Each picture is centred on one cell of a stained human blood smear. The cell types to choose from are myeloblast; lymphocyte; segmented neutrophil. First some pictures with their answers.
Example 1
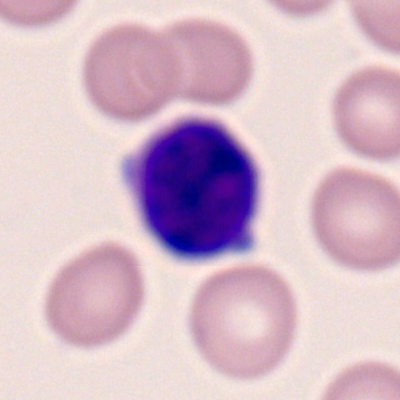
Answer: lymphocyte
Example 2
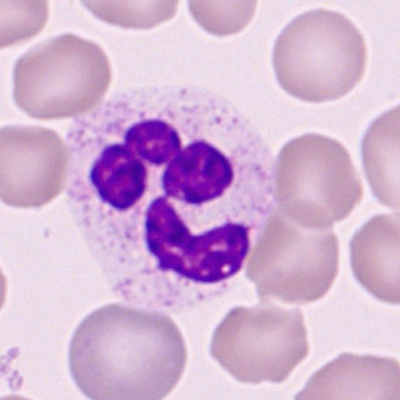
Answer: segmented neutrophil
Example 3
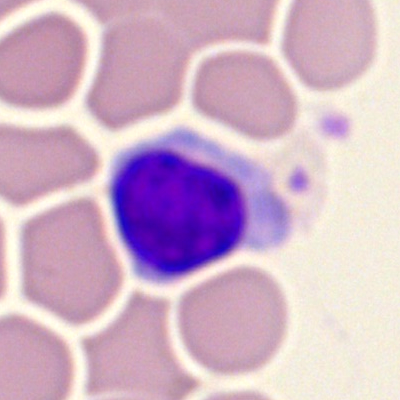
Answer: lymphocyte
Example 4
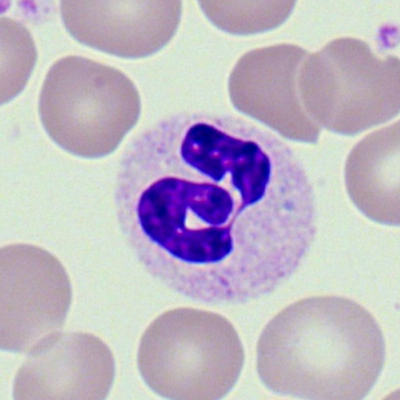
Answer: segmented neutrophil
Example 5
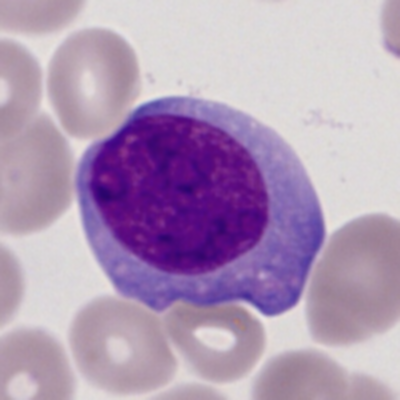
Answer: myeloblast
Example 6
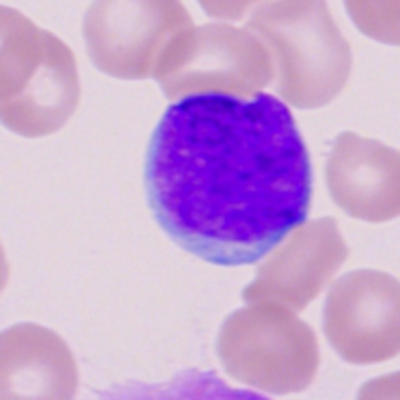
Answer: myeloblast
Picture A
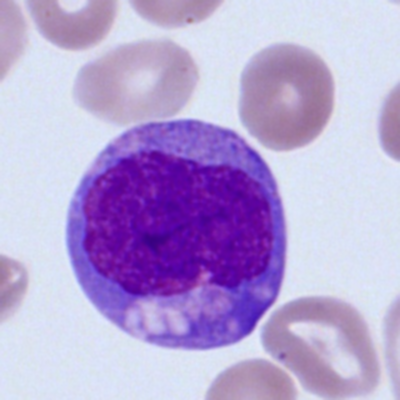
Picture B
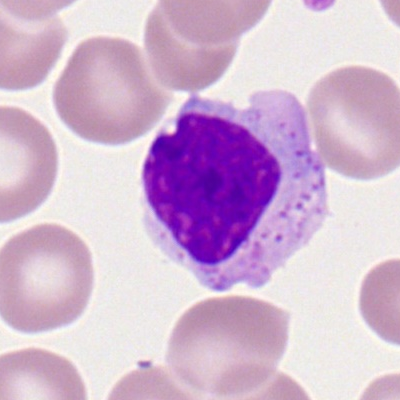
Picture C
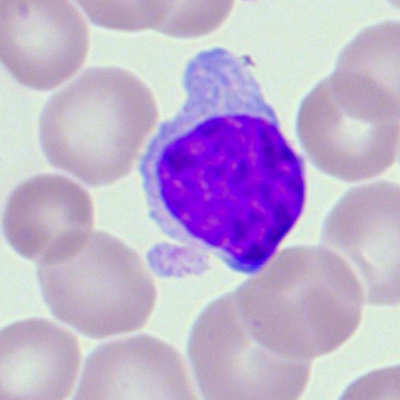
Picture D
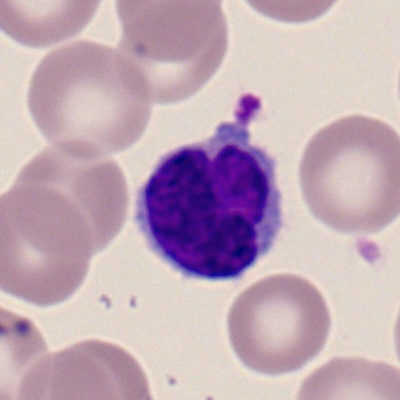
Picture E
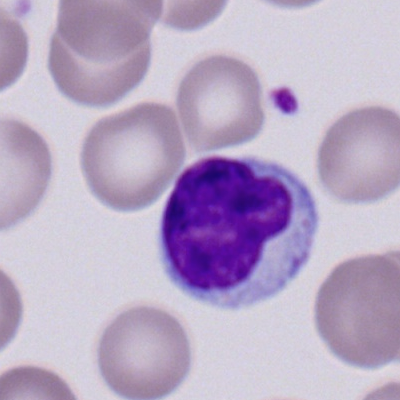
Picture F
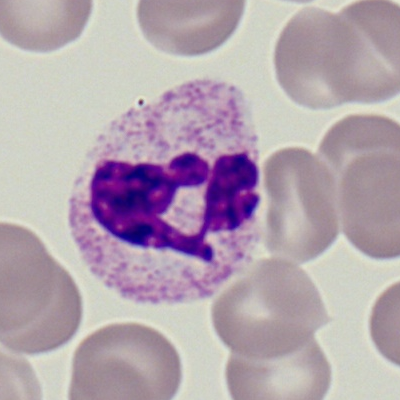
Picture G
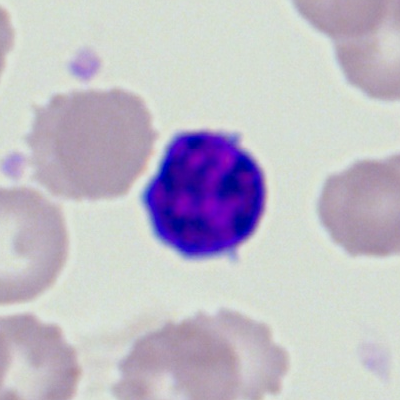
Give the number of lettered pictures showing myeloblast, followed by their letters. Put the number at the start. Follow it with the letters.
1: A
